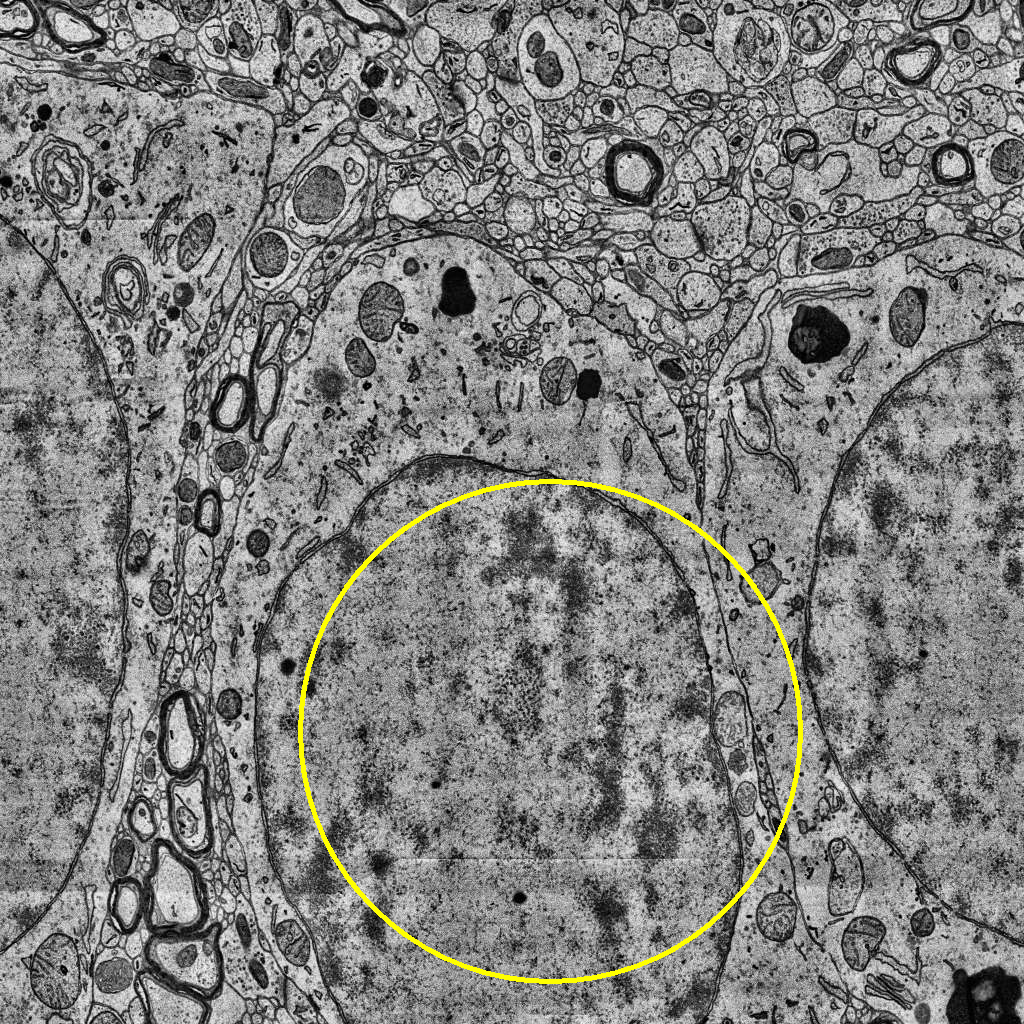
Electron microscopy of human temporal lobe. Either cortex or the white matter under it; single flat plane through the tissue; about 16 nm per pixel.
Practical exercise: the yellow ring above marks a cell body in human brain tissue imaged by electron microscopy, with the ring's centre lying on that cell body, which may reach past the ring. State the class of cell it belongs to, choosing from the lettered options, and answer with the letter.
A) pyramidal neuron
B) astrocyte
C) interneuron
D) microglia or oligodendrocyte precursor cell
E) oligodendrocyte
C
